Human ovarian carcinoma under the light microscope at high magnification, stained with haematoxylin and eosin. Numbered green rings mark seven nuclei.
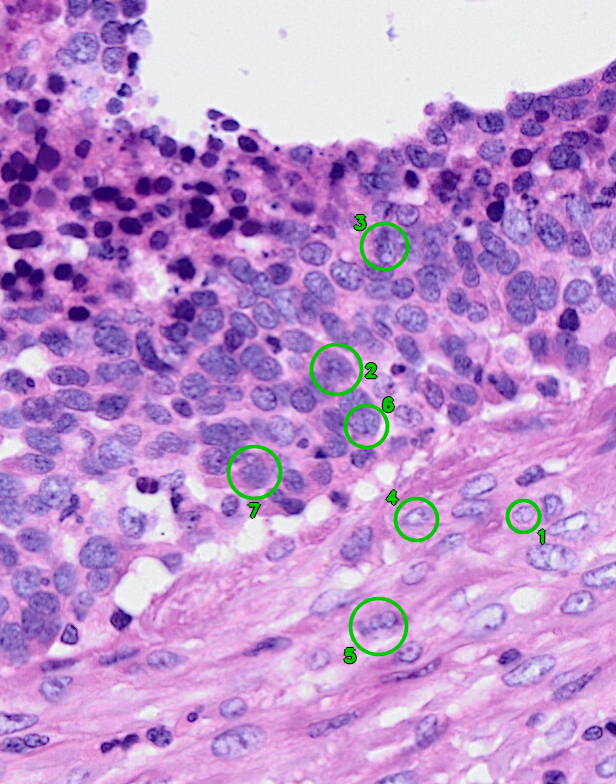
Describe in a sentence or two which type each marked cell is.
Cell 1 is a fibroblast, cell 2 is a carcinoma cell, cell 3 is a carcinoma cell, cell 4 is a fibroblast, cell 5 is a fibroblast, cell 6 is a carcinoma cell and cell 7 is a carcinoma cell.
